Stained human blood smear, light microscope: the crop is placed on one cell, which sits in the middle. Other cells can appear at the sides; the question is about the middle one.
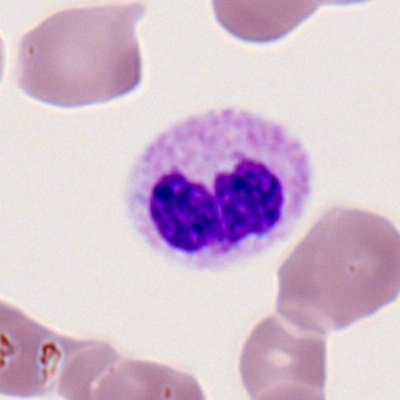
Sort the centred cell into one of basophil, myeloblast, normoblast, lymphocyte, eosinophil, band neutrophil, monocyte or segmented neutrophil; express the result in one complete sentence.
The middle cell in this particular crop is a segmented neutrophil.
